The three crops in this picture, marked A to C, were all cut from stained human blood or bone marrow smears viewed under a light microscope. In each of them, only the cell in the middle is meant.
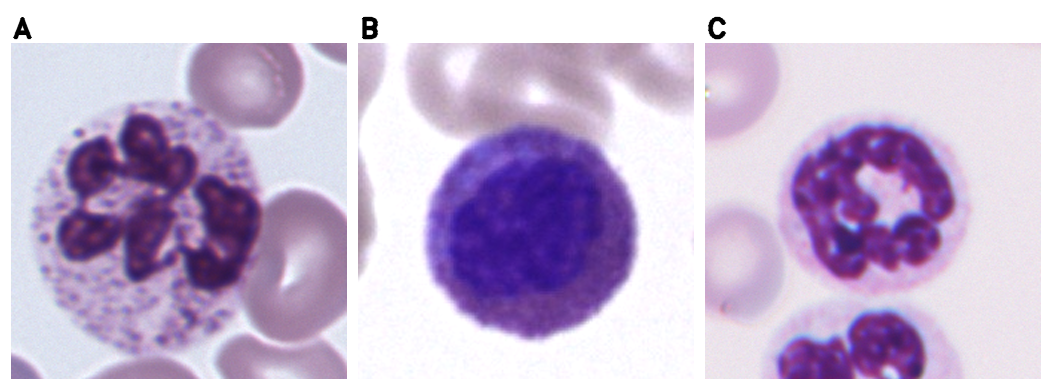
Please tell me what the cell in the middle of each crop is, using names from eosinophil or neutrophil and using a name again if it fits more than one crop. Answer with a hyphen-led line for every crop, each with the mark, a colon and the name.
- A: neutrophil
- B: eosinophil
- C: neutrophil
